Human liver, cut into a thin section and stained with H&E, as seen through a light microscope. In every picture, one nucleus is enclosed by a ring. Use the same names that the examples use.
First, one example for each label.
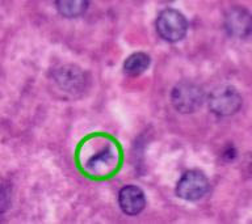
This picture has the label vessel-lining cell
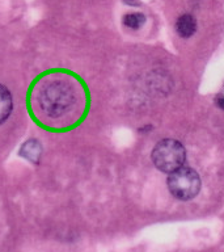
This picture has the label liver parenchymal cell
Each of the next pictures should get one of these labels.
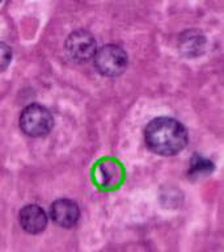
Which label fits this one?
vessel-lining cell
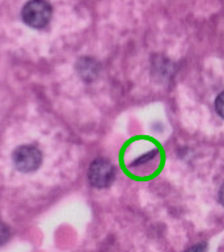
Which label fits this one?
vessel-lining cell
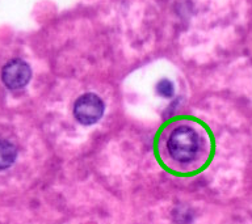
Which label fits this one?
liver parenchymal cell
